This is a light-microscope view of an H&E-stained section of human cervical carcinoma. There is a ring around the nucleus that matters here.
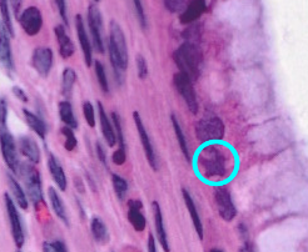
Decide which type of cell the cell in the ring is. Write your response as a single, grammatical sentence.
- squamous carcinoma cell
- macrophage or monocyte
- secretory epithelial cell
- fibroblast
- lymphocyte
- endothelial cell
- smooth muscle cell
Within the stained tissue, the cell in the ring is a secretory epithelial cell.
